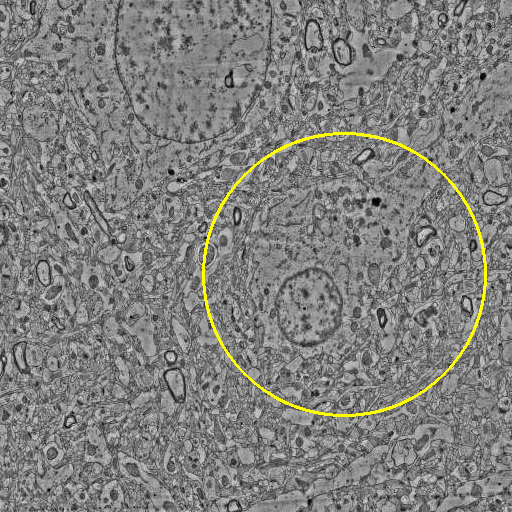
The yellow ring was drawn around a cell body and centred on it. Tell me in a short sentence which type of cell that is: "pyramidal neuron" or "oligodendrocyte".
The cell at the ring's centre is a pyramidal neuron.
